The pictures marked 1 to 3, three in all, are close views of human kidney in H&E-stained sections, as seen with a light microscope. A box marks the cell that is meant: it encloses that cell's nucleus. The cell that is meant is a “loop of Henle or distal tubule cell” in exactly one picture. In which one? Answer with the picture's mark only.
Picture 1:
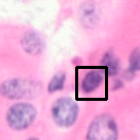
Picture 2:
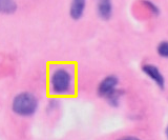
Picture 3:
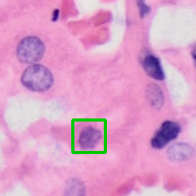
2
